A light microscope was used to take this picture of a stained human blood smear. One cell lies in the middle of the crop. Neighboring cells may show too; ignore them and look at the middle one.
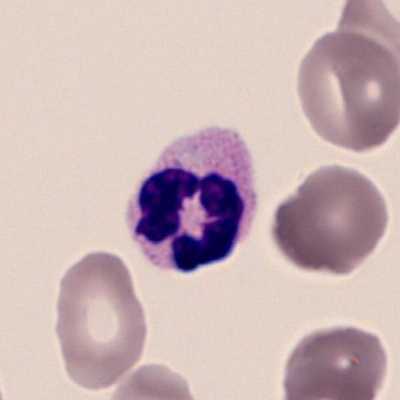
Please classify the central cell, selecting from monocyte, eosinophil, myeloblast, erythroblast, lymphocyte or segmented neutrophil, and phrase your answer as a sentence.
Within this crop, a segmented neutrophil occupies the central position.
